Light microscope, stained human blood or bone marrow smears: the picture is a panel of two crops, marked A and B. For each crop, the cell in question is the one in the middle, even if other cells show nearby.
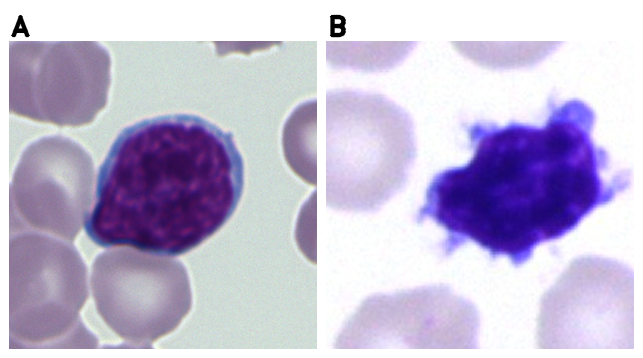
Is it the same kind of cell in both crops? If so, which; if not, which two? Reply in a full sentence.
Yes, the central cells in both crops are lymphocytes.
